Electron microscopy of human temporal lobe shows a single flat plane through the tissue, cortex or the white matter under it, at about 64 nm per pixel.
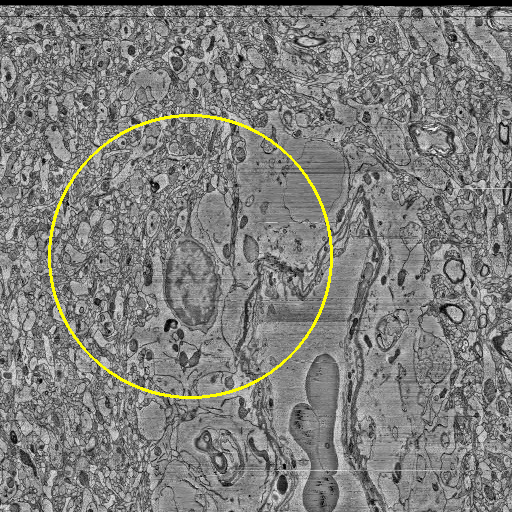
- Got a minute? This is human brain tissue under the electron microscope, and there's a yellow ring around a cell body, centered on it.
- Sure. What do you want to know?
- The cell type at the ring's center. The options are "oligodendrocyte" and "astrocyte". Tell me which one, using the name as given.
oligodendrocyte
